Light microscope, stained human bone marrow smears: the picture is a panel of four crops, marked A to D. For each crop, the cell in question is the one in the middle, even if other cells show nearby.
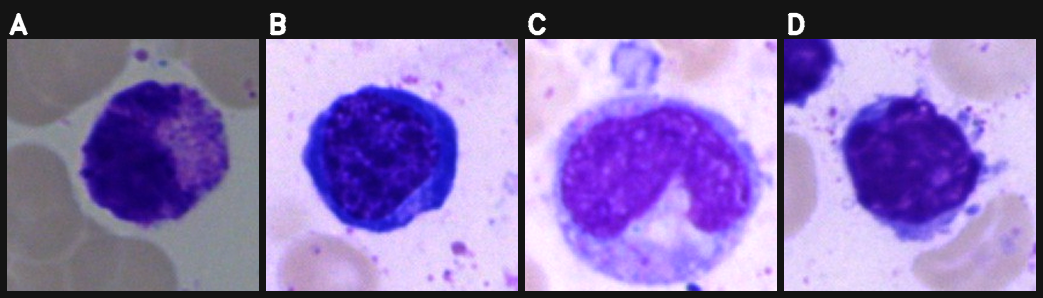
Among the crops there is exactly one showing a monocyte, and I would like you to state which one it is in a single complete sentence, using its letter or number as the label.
In the set of crops, crop C is the one that contains a monocyte.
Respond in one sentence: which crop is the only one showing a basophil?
Crop A matches the request, showing a basophil.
